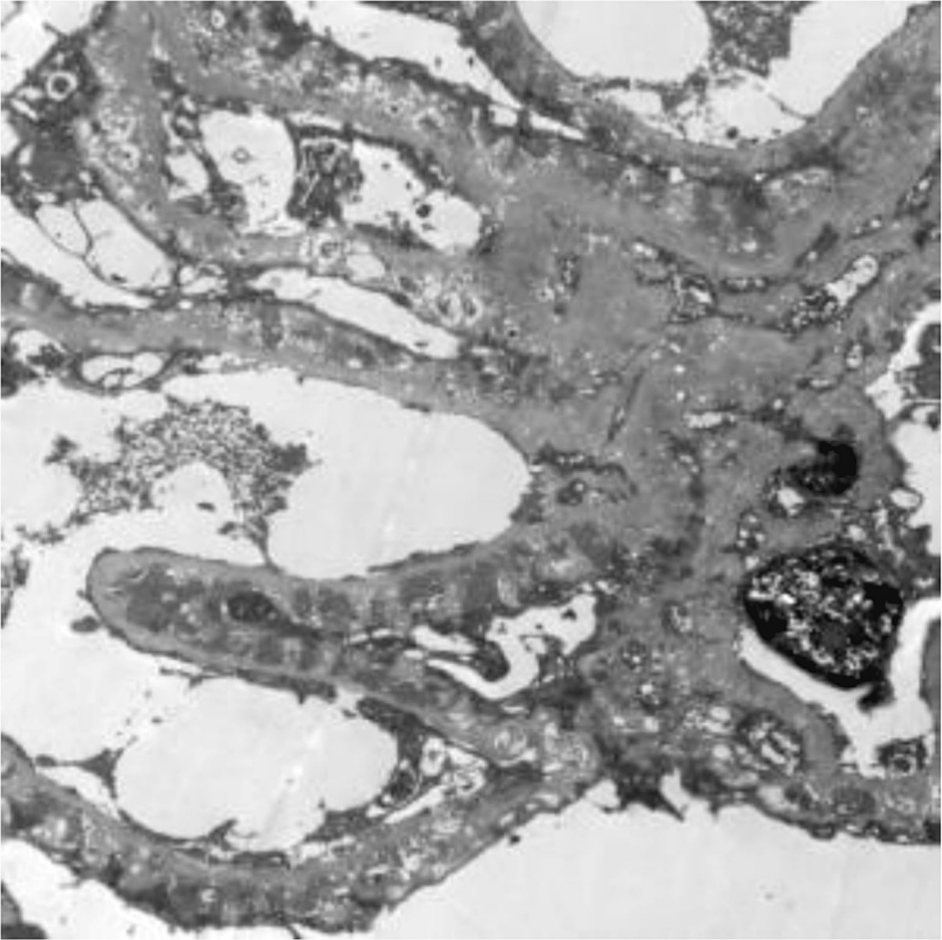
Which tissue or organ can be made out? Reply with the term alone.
glomerulus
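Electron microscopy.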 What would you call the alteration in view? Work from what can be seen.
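The grey membranous bands around the capillary loops are broad and thick. The bands are uneven in width along their course. The answer: glomerular basement membrane thickening.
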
